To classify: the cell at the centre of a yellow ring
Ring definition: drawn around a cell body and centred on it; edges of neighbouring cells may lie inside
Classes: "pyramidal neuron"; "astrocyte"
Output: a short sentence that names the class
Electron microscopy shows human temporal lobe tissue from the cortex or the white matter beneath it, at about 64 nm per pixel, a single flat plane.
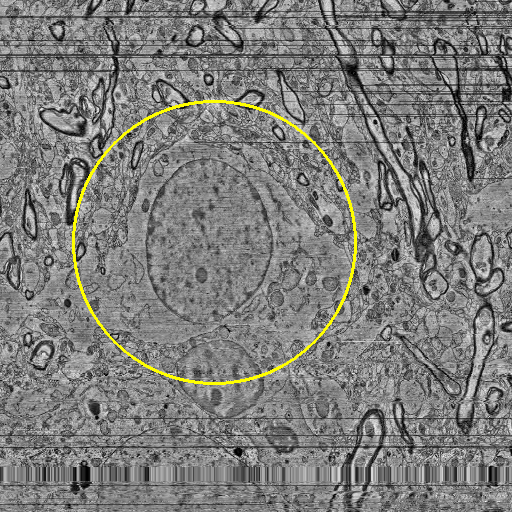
The ringed cell is an astrocyte.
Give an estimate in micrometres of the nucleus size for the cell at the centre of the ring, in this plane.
The nucleus of the ringed cell is approximately 11 by 8 micrometres in this plane.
